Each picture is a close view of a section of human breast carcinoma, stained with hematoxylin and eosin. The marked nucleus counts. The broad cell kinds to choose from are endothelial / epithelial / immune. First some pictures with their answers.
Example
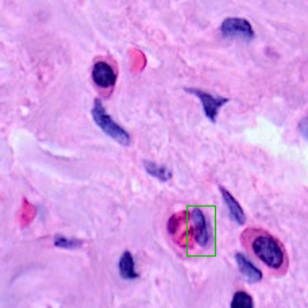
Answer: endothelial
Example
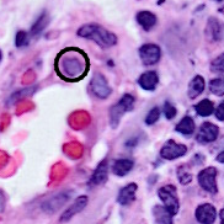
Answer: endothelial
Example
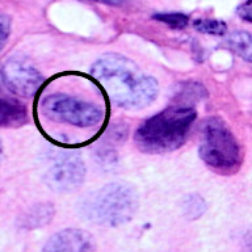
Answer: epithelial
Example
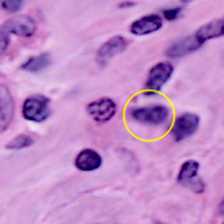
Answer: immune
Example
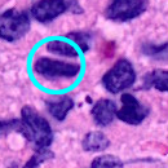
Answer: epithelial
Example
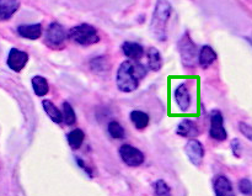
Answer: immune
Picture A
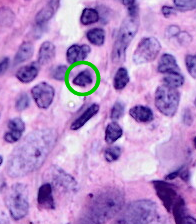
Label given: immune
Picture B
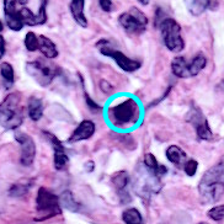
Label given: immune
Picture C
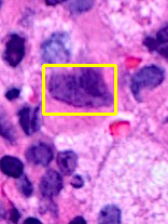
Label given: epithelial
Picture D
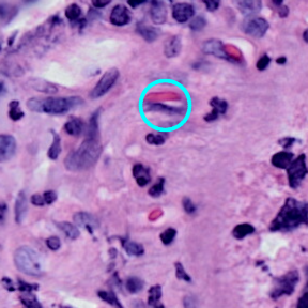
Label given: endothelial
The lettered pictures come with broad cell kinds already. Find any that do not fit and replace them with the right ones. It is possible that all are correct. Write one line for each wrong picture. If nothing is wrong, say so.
All labels are correct.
